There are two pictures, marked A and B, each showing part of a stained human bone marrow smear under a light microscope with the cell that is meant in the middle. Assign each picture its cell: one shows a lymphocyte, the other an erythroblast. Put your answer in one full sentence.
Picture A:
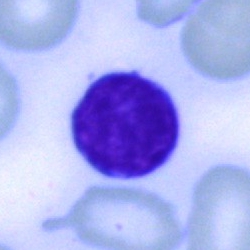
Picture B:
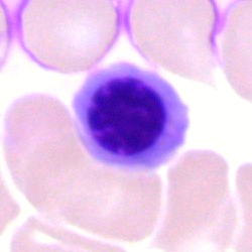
It is picture A that shows a lymphocyte, and picture B that shows an erythroblast.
